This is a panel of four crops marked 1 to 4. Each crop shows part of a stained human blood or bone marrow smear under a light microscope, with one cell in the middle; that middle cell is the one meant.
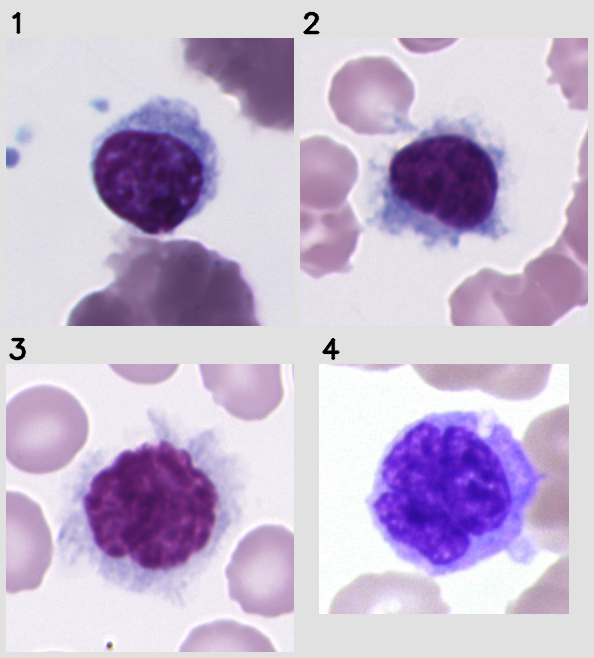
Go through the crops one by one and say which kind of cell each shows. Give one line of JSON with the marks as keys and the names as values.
{"1": "hairy cell", "2": "hairy cell", "3": "hairy cell", "4": "monocyte"}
